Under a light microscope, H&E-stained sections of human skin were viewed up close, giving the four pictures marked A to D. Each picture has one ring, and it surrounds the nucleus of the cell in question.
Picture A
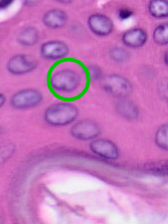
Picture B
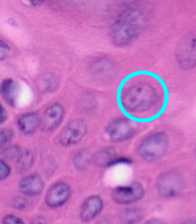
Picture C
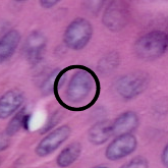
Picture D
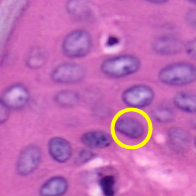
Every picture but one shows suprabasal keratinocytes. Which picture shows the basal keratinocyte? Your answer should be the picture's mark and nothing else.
D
